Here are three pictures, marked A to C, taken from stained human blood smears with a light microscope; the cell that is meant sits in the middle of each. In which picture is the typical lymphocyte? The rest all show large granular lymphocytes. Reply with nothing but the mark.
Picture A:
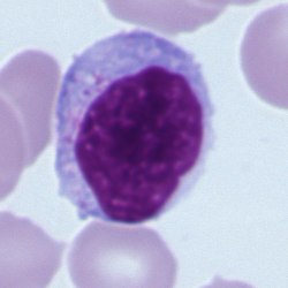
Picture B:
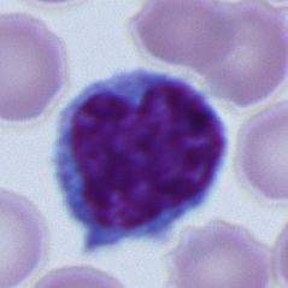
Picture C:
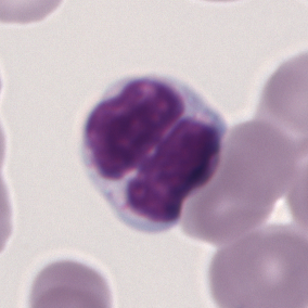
B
